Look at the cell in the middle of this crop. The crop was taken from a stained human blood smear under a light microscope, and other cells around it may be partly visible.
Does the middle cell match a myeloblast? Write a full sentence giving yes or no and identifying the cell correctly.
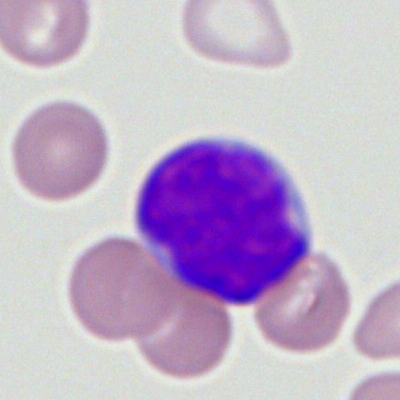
Yes, the cell placed centrally within the crop is a myeloblast.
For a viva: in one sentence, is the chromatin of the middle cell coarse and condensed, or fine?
Just so you know, its chromatin is coarsely clumped.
